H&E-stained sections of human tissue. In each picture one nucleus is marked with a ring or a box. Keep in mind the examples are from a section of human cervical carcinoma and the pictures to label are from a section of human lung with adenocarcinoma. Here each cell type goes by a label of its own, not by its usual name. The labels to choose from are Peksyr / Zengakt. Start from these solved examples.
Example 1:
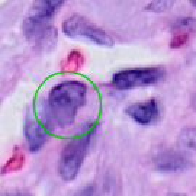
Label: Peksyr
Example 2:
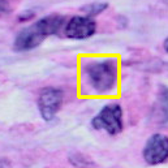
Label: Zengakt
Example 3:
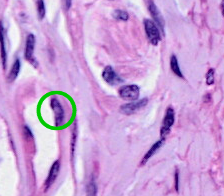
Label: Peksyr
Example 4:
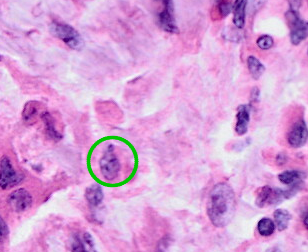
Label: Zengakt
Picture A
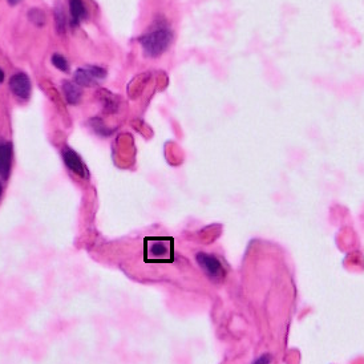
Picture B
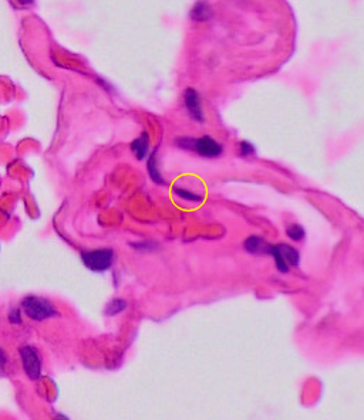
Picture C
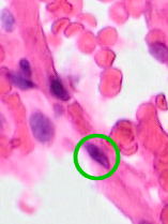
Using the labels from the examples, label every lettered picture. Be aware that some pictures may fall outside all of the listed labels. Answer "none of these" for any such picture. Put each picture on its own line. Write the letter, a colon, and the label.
A: Peksyr
B: Peksyr
C: Peksyr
